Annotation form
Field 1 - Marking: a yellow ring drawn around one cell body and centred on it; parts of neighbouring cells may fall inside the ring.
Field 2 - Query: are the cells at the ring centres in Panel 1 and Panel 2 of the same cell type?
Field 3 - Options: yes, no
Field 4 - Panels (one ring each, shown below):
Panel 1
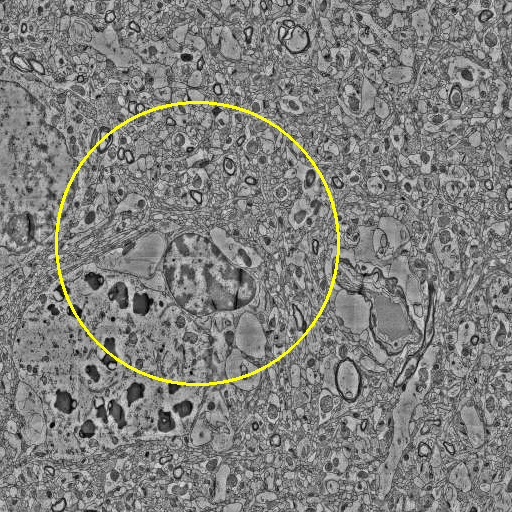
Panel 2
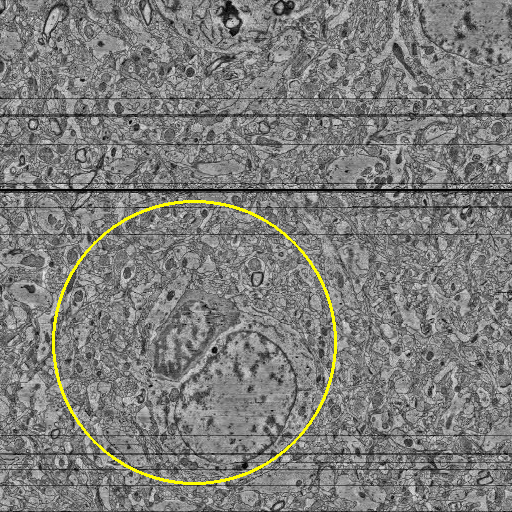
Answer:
no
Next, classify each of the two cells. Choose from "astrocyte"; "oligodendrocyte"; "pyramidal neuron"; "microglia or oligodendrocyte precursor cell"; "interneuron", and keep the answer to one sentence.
In the first picture it is a microglial cell or oligodendrocyte precursor cell; in the second it is an oligodendrocyte.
